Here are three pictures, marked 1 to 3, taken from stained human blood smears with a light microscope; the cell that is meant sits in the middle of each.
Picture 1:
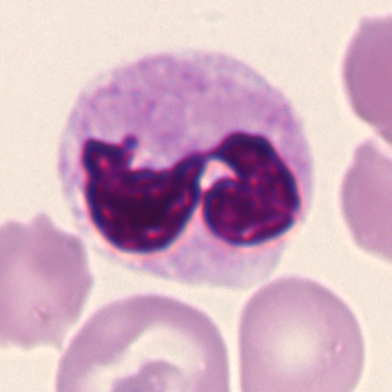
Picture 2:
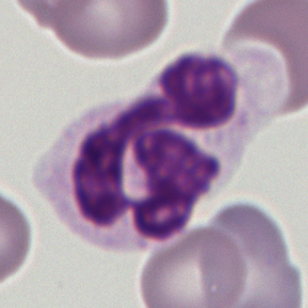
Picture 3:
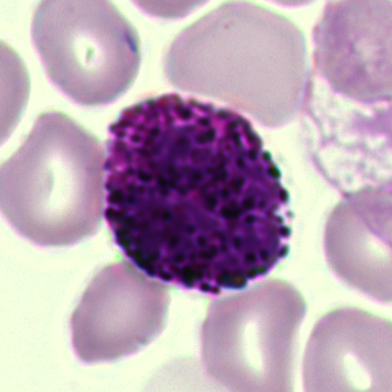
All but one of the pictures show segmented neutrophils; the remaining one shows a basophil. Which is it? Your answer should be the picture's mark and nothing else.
3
